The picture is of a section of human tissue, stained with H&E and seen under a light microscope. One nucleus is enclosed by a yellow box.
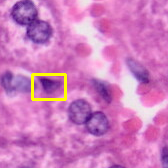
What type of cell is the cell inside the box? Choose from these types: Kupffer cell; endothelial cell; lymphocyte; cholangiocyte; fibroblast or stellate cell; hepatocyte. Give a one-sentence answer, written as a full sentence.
The cell type represented by the cell inside the box is that of a fibroblast or stellate cell.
